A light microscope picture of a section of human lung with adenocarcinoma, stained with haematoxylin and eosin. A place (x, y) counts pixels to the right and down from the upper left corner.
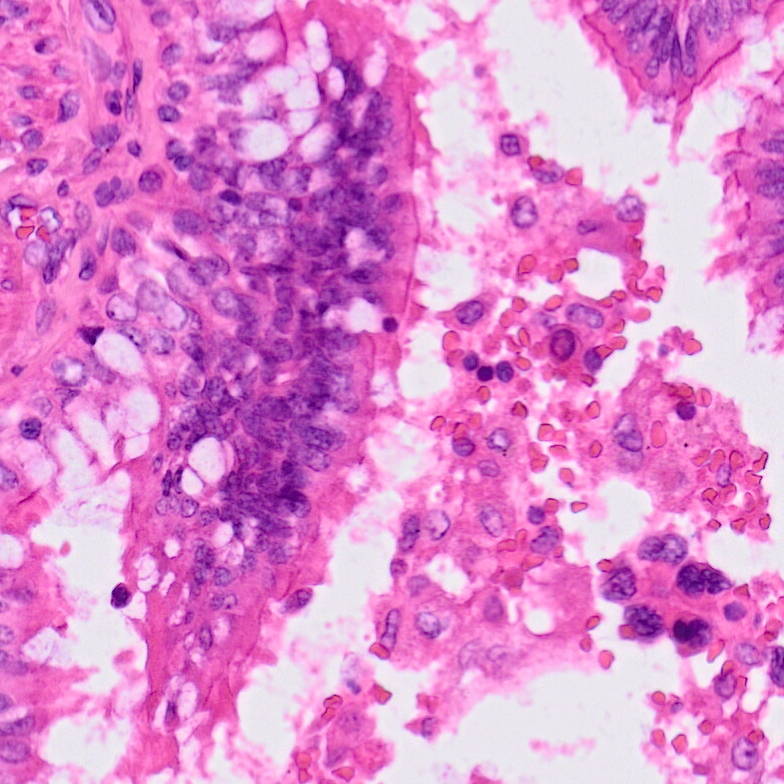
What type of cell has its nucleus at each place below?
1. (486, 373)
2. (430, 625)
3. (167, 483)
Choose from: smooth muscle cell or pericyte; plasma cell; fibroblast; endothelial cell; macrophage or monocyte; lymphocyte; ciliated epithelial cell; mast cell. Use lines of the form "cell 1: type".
cell 1: lymphocyte
cell 2: macrophage or monocyte
cell 3: ciliated epithelial cell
